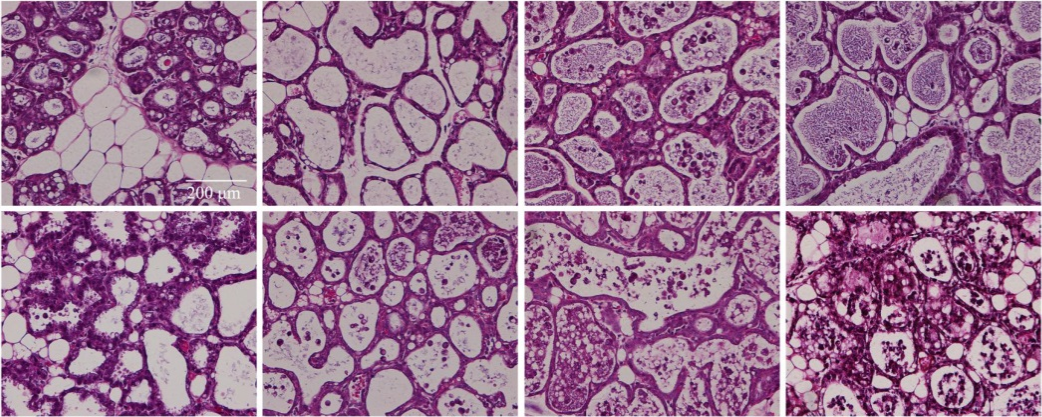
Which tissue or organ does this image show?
mammary gland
